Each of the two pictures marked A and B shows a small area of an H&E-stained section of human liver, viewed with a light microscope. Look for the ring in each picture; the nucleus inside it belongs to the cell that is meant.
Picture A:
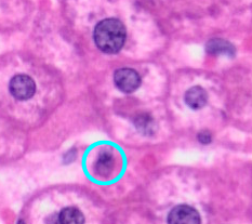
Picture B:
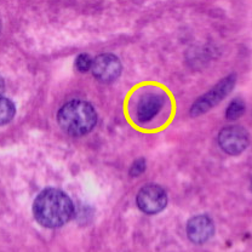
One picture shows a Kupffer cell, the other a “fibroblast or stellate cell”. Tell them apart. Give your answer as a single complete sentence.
The cell in picture A is a Kupffer cell, and the one in picture B is a “fibroblast or stellate cell”.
